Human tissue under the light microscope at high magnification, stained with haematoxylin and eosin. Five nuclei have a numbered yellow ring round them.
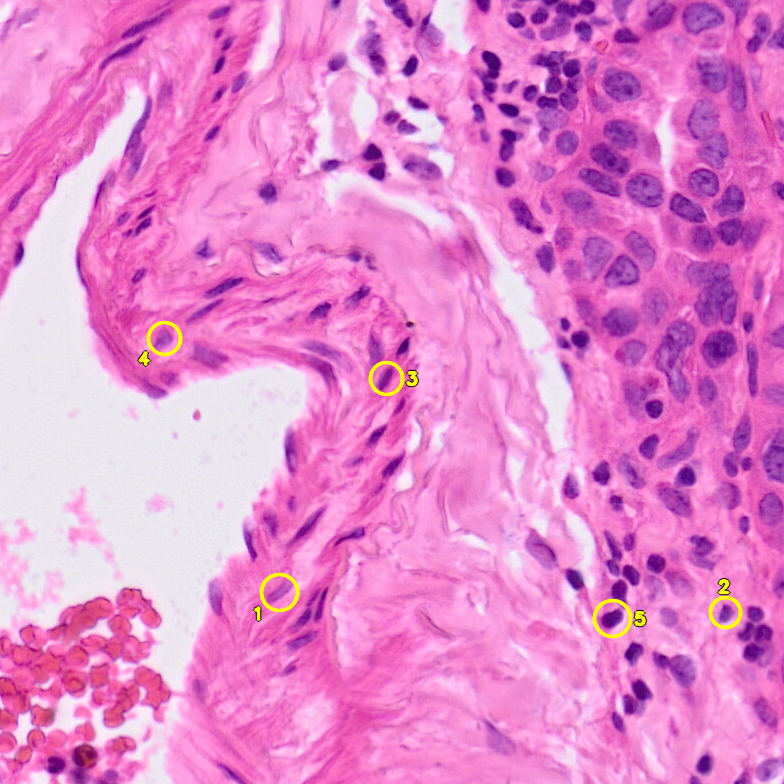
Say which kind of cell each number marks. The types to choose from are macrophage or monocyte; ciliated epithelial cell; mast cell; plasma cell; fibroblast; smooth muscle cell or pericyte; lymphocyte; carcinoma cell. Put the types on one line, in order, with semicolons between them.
smooth muscle cell or pericyte; lymphocyte; smooth muscle cell or pericyte; smooth muscle cell or pericyte; lymphocyte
